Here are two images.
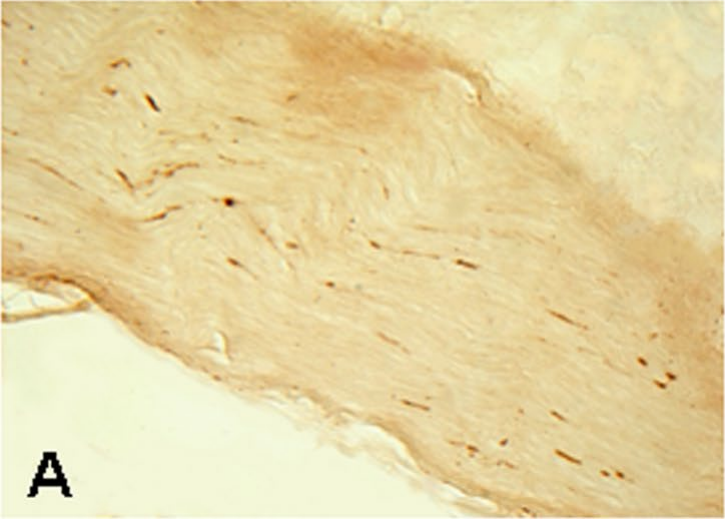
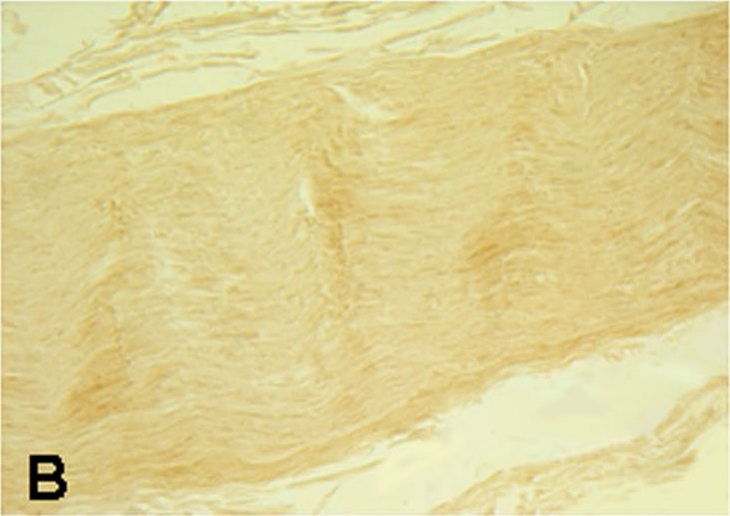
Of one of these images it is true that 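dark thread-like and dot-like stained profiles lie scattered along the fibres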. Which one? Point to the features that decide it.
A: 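The first image. Second image: the fibrous band is evenly pale tan with no dark threads or dots. First image: many short dark brown threads and dots are scattered along the fibres.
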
